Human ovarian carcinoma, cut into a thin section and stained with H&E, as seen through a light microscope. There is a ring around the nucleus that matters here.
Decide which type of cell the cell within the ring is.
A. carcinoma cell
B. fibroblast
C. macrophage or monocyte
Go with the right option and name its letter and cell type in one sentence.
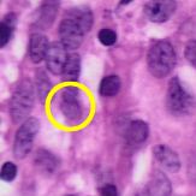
Here the cell within the ring is a carcinoma cell; pick option A.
